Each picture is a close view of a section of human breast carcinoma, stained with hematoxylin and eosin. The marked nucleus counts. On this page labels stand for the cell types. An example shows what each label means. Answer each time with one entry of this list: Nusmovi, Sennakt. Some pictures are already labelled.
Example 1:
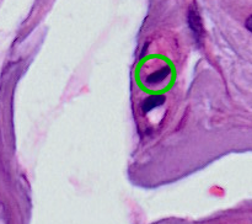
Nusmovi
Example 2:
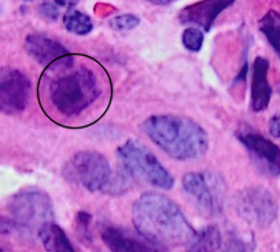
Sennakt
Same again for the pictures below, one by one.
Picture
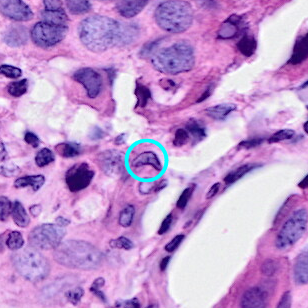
Nusmovi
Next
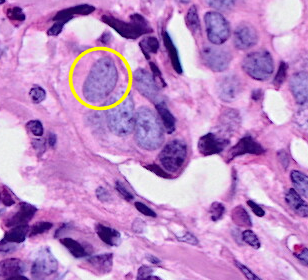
Sennakt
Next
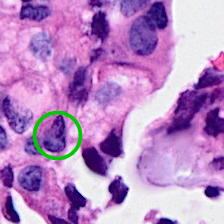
Sennakt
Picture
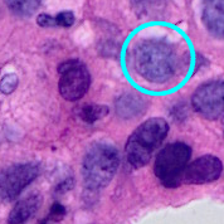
Sennakt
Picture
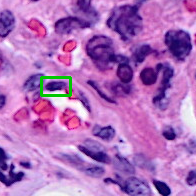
Nusmovi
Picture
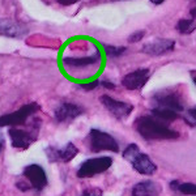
Nusmovi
